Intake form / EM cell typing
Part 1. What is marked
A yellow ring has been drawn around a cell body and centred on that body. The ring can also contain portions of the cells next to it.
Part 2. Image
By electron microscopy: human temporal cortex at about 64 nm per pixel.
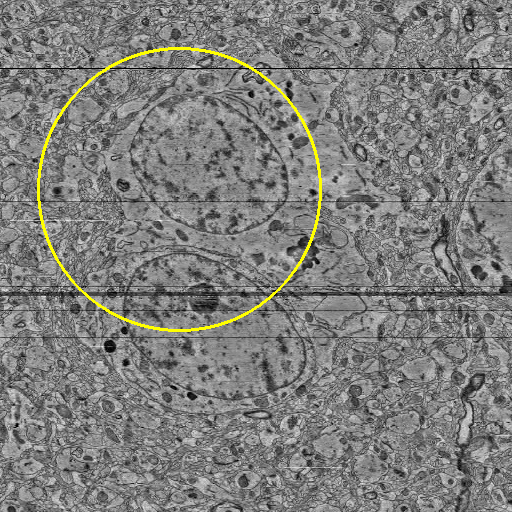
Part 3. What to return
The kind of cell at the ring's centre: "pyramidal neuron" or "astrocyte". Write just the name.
astrocyte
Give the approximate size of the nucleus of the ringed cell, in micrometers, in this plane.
The nucleus works out at approximately 10 by 8 micrometres in this plane.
